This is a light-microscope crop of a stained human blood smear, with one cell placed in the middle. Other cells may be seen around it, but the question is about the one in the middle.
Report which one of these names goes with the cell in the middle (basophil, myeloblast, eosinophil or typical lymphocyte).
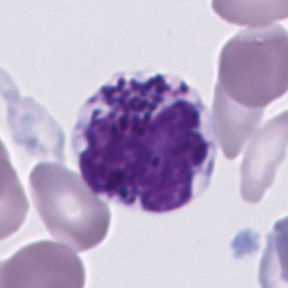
basophil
